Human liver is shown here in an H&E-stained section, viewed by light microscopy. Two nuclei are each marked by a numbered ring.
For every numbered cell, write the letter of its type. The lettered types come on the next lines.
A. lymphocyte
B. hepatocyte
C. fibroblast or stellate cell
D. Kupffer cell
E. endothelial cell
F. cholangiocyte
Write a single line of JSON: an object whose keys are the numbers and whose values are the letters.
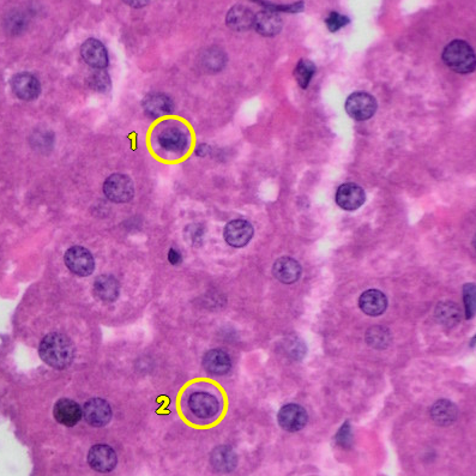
{"1": "C", "2": "B"}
